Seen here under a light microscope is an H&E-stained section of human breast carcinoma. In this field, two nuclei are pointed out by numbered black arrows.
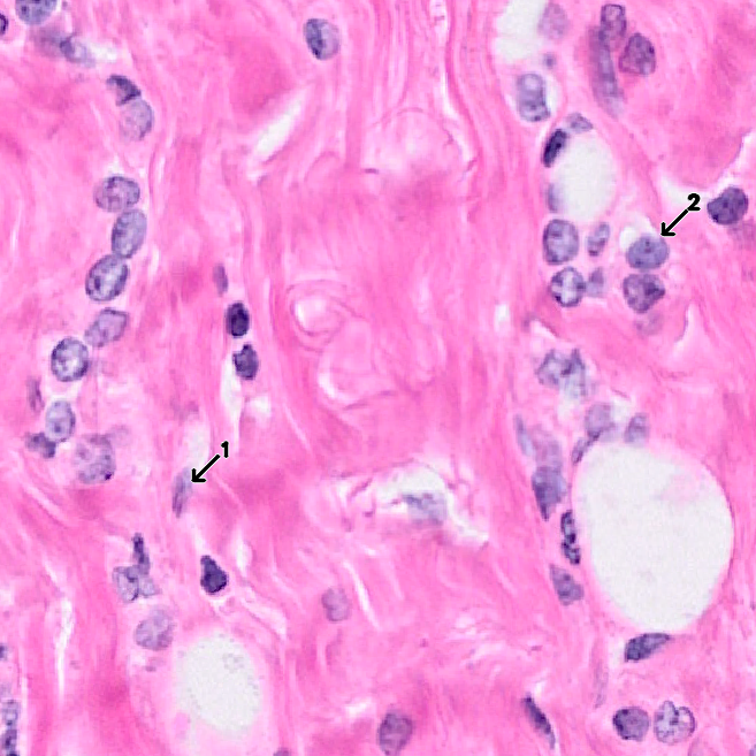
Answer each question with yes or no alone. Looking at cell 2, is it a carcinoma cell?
yes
